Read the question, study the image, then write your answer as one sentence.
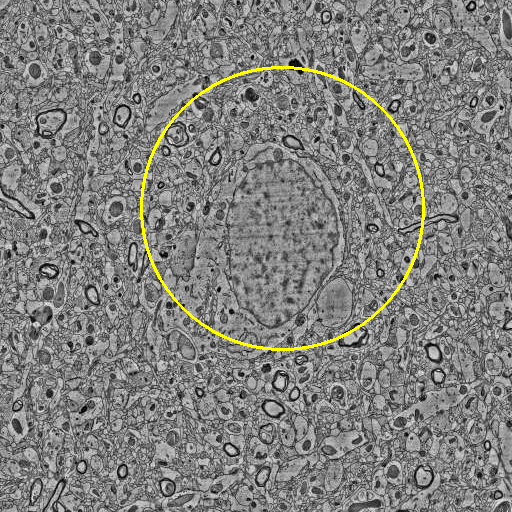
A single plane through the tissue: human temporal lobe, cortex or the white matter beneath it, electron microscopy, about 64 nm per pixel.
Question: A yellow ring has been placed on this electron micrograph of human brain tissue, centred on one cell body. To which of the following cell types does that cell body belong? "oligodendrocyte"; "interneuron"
That cell body belongs to an interneuron.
